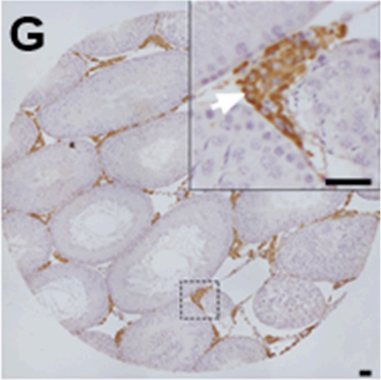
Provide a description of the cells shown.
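This testis section shows round and oval seminiferous tubules in cross-section, their multilayered germinal epithelium counterstained blue-purple around a pale lumen. Between the tubules, the interstitial spaces hold brown-stained groups of Leydig cells, often in the triangular gaps where three tubules meet. The inset enlarges one such group: a compact cluster of rounded cells with round nuclei and strongly brown cytoplasm, pressed between the walls of adjacent tubules. Cells inside the tubules remain unstained, so the brown marks only the interstitial clusters across the section.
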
